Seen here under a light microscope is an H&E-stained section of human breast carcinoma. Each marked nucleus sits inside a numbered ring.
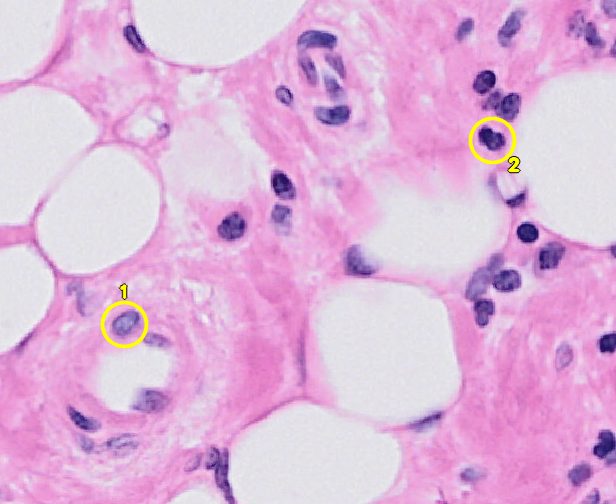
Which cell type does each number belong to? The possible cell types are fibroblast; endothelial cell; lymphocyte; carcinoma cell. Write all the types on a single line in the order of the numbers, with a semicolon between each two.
endothelial cell; lymphocyte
